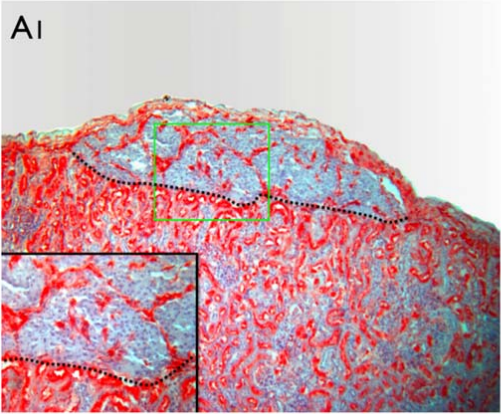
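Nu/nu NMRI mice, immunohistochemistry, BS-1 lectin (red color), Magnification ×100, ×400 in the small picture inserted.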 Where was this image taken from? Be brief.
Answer: Kidney capsule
